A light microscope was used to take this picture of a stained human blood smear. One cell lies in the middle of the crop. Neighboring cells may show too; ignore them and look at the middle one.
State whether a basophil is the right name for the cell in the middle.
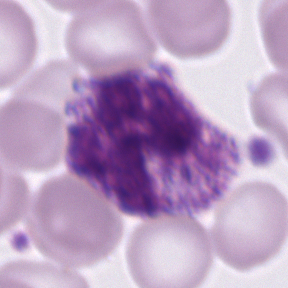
yes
